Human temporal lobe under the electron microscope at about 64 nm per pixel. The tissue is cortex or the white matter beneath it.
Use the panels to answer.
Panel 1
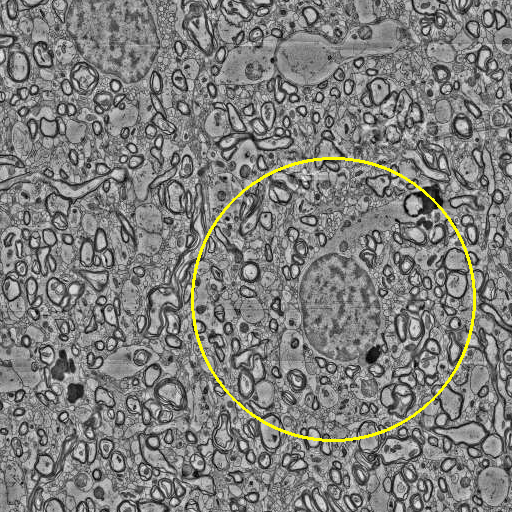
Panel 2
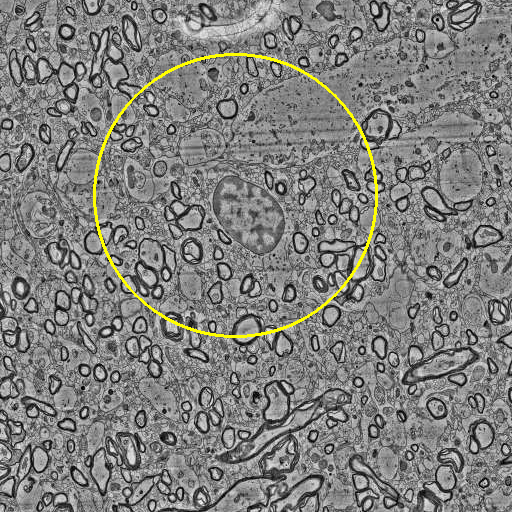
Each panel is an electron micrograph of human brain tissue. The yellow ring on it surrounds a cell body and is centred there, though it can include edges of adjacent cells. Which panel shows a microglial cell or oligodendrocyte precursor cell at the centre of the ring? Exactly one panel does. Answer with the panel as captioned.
Panel 2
